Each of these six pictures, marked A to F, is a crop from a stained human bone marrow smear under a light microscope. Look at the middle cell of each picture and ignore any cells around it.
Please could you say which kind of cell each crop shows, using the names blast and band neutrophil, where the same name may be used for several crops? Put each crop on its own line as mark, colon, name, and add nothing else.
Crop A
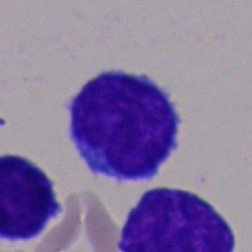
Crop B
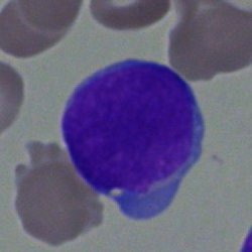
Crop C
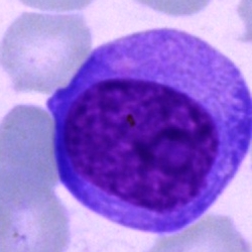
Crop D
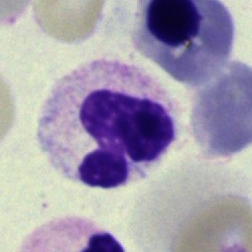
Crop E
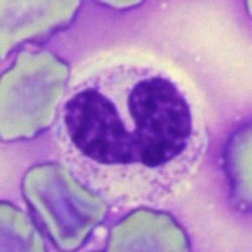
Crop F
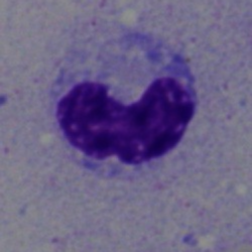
A: blast
B: blast
C: blast
D: band neutrophil
E: band neutrophil
F: band neutrophil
